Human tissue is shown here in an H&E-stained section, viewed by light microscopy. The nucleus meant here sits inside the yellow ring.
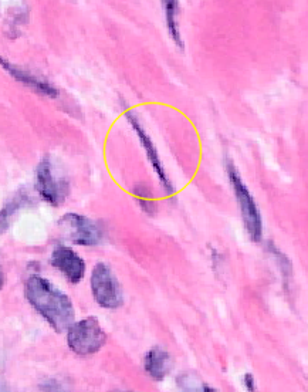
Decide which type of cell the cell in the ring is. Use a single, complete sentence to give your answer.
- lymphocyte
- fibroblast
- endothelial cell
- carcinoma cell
The cell type represented by the cell in the ring is that of a fibroblast.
